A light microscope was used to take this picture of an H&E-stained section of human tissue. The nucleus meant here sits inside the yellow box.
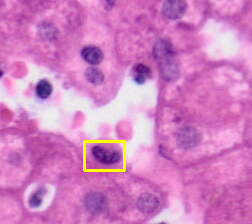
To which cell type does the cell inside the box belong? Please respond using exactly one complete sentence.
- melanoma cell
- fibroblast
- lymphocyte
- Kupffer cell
In this section of tissue, the cell inside the box is a Kupffer cell.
